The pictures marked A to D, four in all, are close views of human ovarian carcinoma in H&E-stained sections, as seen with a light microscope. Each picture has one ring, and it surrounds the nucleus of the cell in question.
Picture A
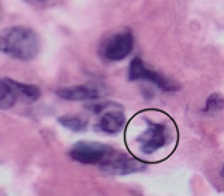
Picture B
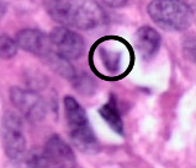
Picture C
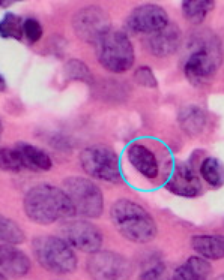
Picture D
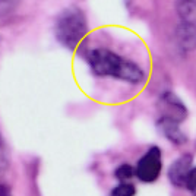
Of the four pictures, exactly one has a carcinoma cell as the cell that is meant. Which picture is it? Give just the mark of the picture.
B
